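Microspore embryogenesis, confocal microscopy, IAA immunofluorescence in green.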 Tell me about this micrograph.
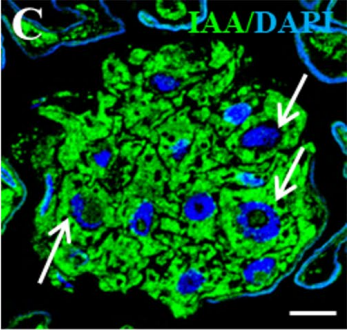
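A larger, roughly rounded mass of many small cells is seen, with round blue nuclei scattered throughout bright green cytoplasm. Some nuclei show a dark central spot. The edge of the mass is irregular and no smooth continuous wall surrounds it. Fragments of thin outlines lie outside the mass at the corners.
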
